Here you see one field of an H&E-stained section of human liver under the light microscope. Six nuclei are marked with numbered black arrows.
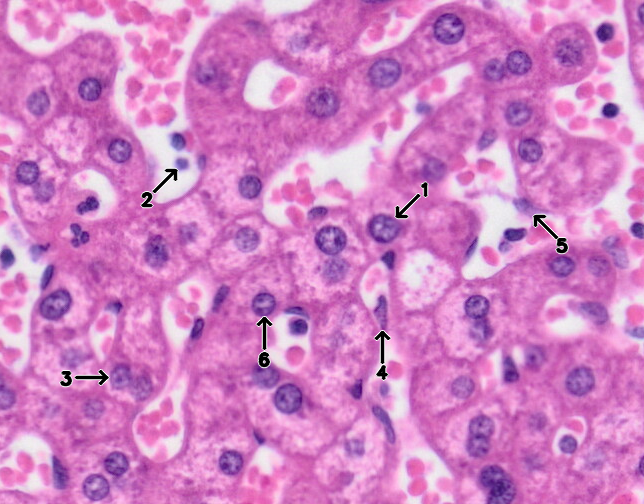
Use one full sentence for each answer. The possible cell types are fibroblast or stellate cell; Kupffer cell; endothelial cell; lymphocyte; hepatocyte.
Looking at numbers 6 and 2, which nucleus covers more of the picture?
Nucleus 6 is larger, with an area about 2.5 times that of nucleus 2.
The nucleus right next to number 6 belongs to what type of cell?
Number 6 lies closest to the nucleus of an endothelial cell.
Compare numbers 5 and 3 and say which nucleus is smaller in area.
Number 5 is smaller, since number 3 takes up about 1.5 times as much area.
